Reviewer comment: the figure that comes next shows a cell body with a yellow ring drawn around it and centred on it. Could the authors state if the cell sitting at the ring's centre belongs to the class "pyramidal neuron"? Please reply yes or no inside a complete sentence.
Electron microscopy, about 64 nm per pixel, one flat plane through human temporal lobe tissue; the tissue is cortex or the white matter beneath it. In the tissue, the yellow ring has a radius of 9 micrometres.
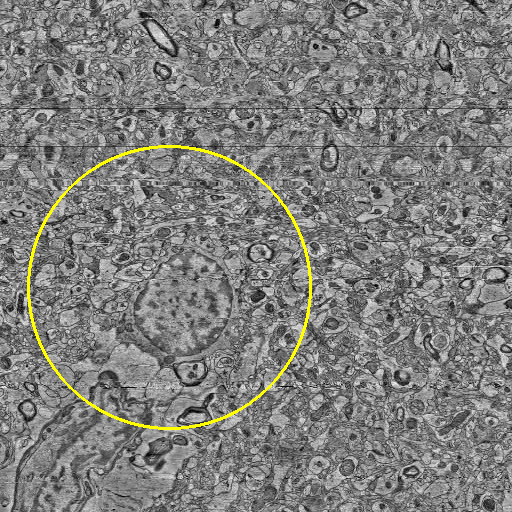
No, in the figure, the cell at the ring's centre belongs to a different class.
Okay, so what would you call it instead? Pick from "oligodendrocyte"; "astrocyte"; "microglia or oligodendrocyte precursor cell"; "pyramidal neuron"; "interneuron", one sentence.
The cell in the ring is an oligodendrocyte instead.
